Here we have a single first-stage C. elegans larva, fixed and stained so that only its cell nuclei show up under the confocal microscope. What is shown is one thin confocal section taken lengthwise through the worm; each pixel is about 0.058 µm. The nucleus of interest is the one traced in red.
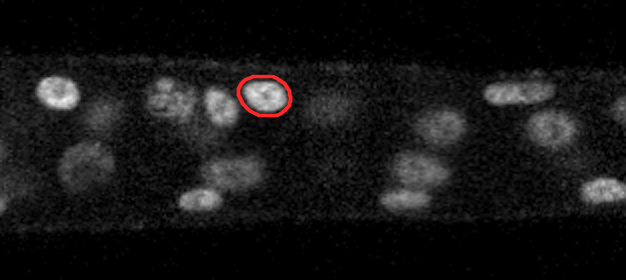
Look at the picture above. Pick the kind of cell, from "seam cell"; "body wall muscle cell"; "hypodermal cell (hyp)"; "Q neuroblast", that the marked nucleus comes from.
body wall muscle cell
